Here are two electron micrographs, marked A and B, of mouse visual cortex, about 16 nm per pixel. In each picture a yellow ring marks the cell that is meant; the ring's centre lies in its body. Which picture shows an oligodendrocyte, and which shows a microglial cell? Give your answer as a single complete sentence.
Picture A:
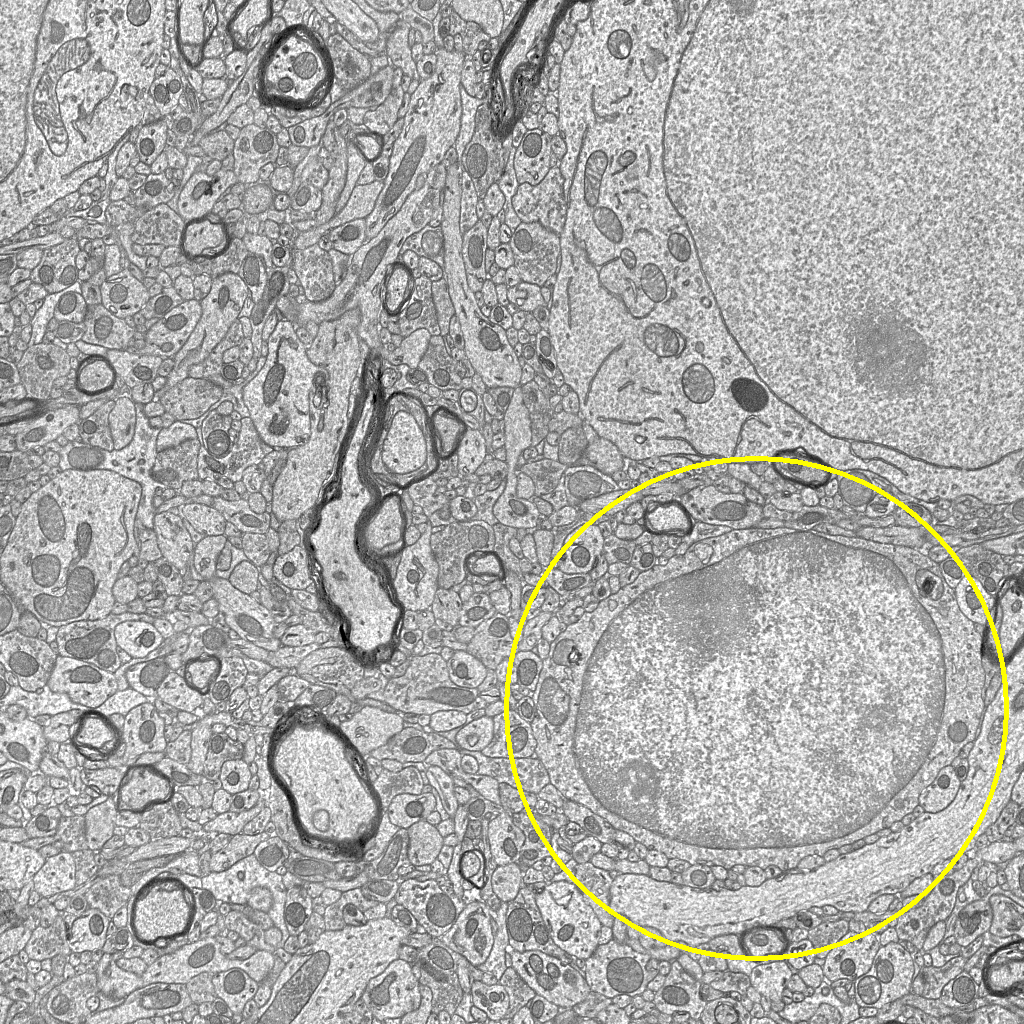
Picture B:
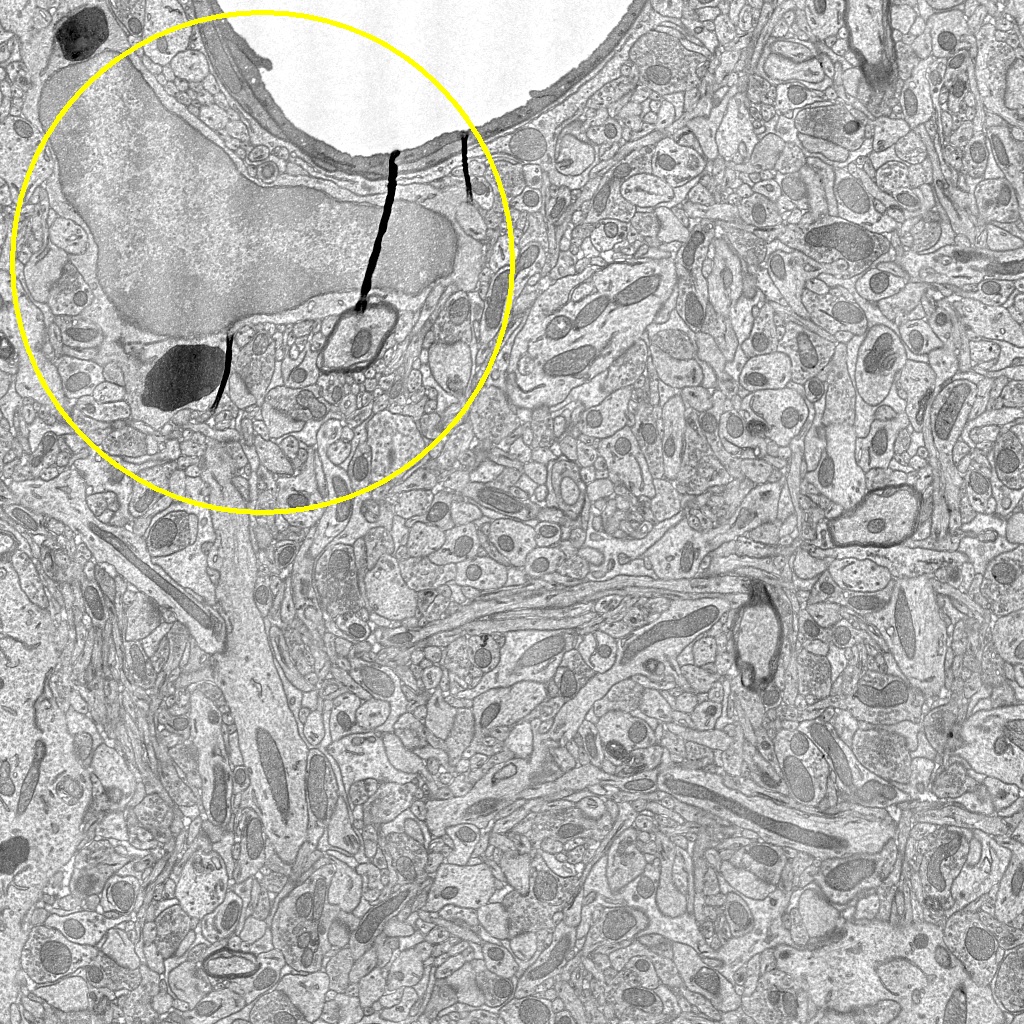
In picture A the cell is an oligodendrocyte; in picture B, a microglial cell.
